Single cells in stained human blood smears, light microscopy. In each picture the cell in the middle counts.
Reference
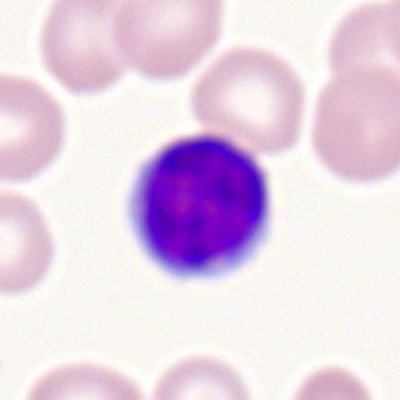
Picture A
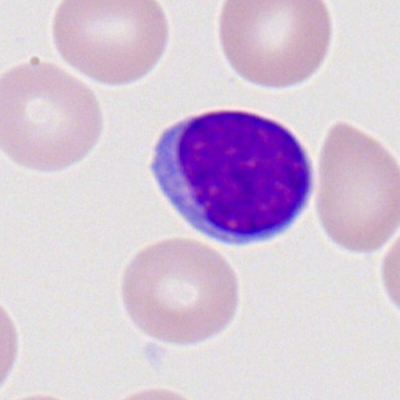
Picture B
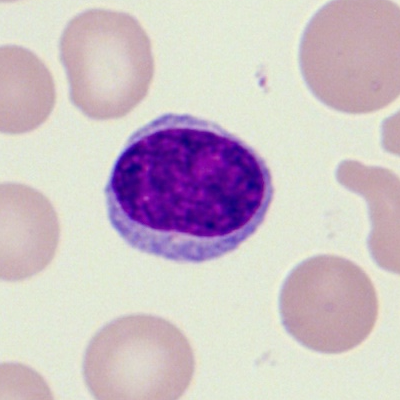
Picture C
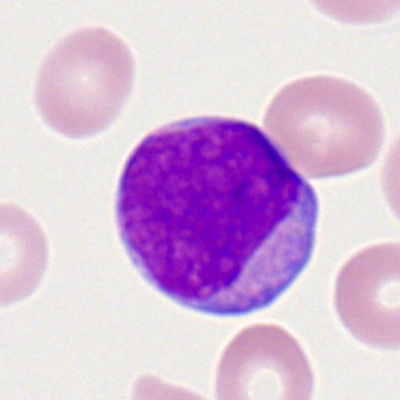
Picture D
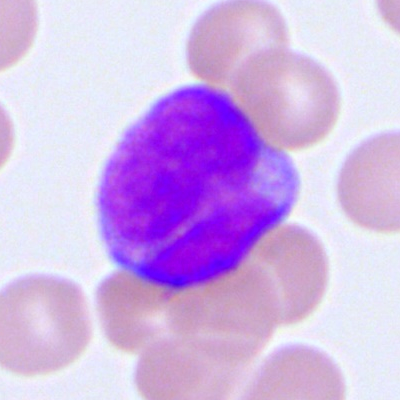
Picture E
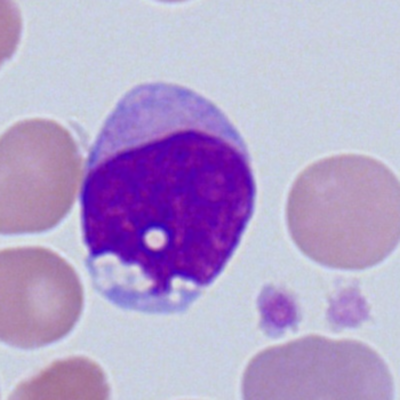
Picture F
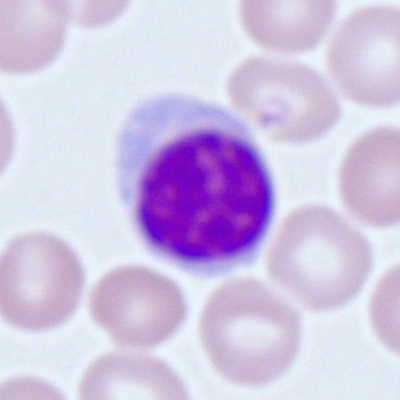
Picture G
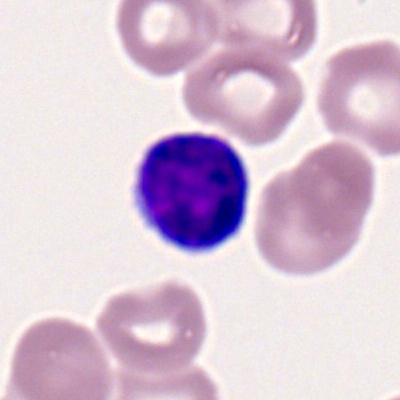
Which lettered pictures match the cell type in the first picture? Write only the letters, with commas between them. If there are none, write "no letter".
A, B, F, G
